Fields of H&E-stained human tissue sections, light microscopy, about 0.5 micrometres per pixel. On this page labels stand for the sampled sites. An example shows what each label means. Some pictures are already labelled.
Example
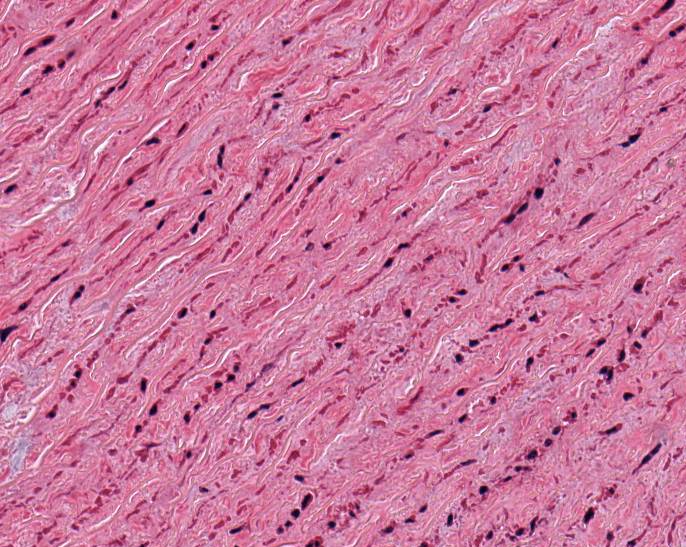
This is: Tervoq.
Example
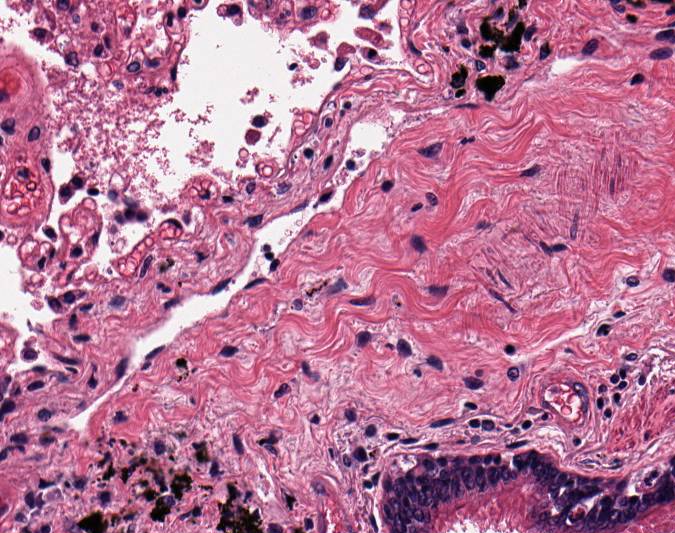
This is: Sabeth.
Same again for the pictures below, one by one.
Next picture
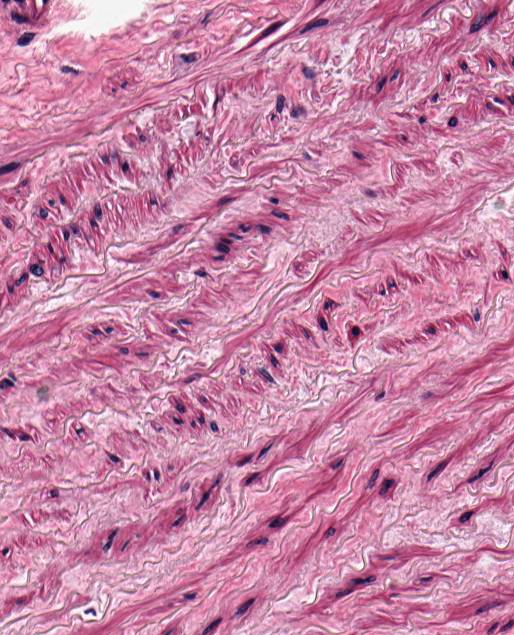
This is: Tervoq.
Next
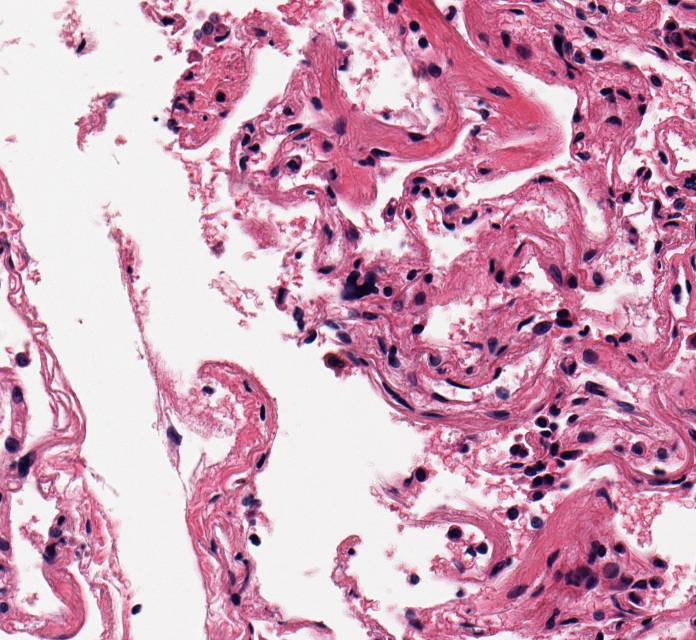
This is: Sabeth.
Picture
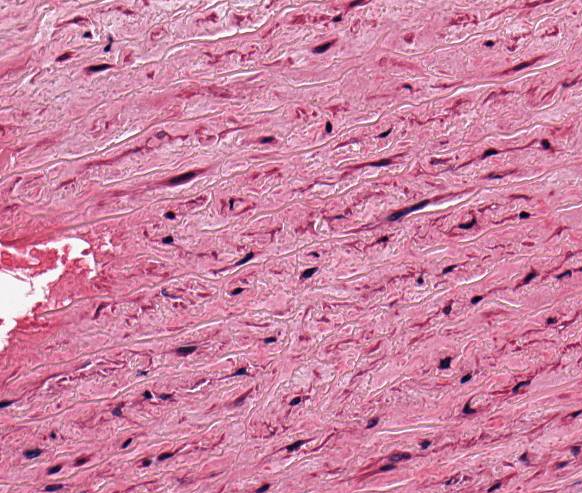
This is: Tervoq.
